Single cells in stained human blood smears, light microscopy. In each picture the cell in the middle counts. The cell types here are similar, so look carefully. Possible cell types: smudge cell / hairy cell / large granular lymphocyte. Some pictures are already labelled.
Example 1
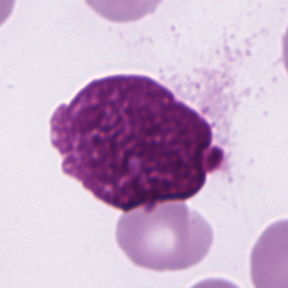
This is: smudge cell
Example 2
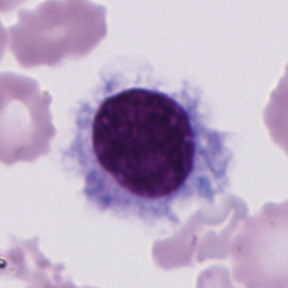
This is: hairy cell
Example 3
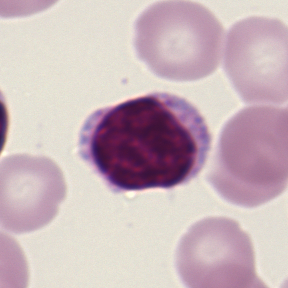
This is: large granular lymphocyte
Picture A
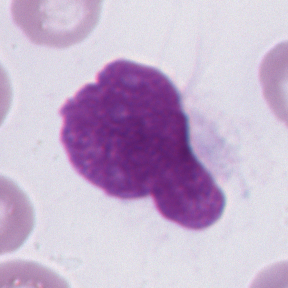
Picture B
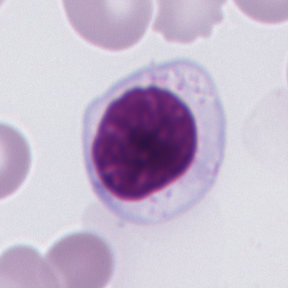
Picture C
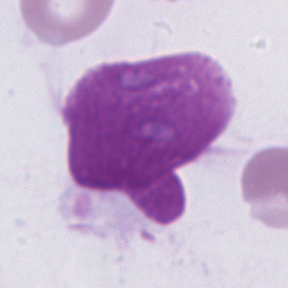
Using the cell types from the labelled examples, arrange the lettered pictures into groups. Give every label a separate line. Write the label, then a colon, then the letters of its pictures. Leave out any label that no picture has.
smudge cell: A, C
large granular lymphocyte: B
